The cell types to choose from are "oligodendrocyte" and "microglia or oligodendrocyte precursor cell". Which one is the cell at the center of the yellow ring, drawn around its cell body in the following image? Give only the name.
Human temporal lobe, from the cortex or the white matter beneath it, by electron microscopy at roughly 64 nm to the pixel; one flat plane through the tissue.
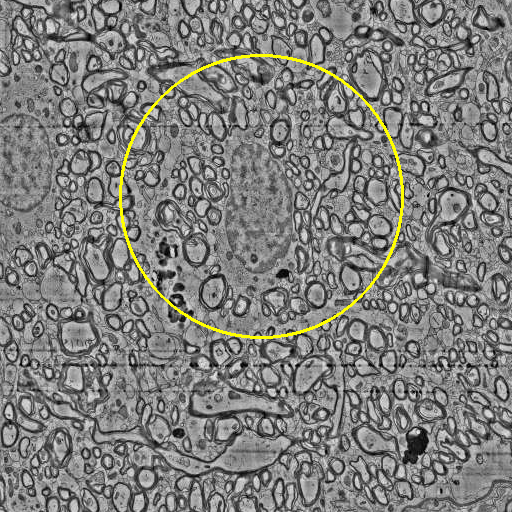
oligodendrocyte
